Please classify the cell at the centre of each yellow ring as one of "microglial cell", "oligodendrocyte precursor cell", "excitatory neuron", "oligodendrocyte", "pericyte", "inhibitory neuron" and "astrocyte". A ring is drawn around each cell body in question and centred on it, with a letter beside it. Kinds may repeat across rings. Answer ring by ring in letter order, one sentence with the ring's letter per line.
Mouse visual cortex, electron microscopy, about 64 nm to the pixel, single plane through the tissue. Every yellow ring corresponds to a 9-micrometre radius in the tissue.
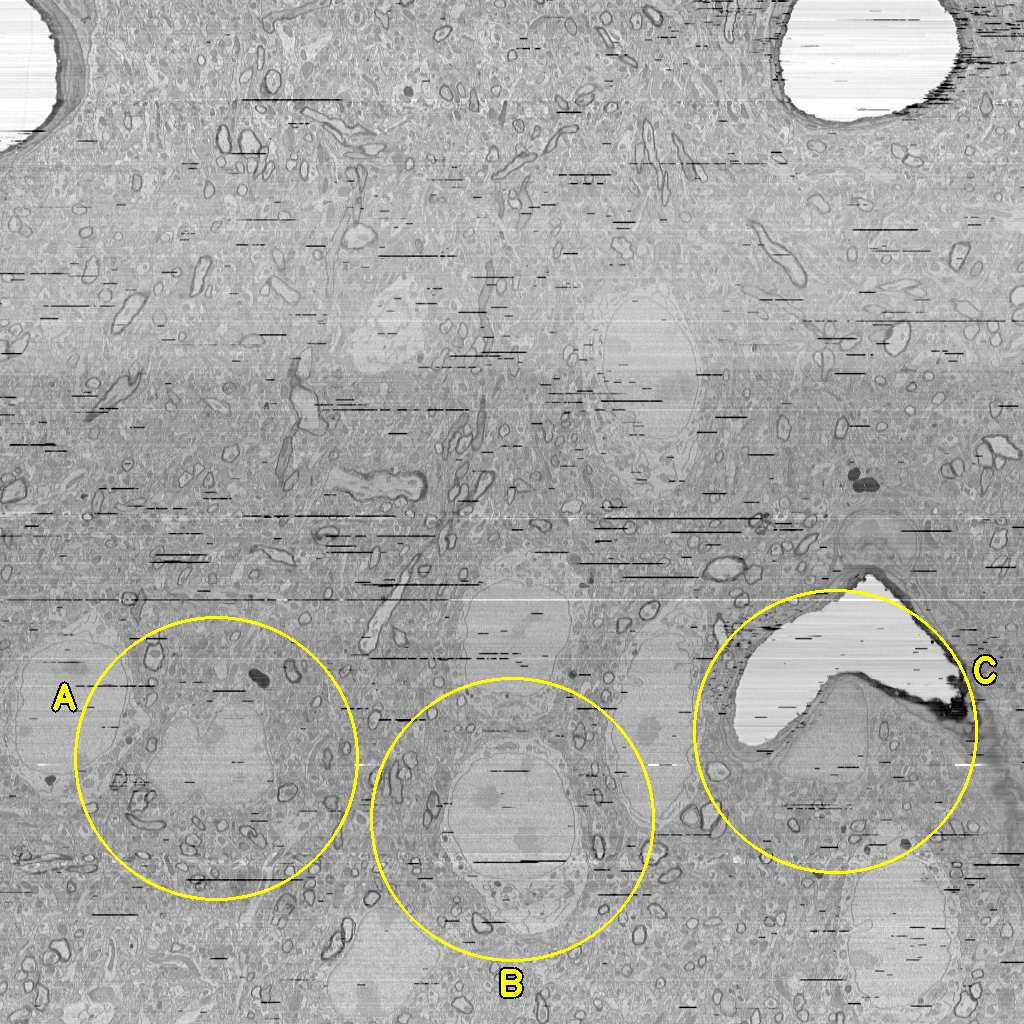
The cell at the heart of ring A is an astrocyte.
The cell at the heart of ring B is an excitatory neuron.
The cell at the heart of ring C is an astrocyte.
